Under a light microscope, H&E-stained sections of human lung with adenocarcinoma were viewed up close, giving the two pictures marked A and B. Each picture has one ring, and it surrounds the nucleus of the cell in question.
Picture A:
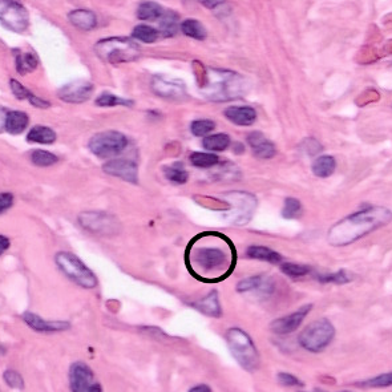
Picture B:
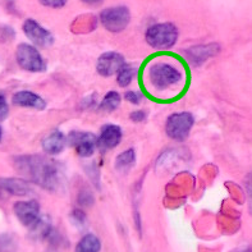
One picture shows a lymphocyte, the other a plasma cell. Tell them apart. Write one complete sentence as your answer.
The cell in picture A is a plasma cell, and the one in picture B is a lymphocyte.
